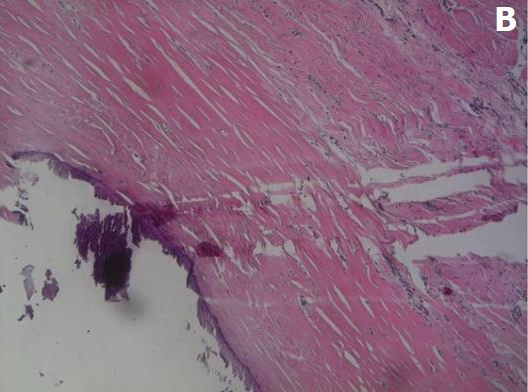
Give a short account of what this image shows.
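The wavy, parallel bundles are separated by clear clefts and hold few nuclei. At one edge of the tissue lies a dark purple, granular deposit, a focus of calcification. Toward the upper right, slightly more nuclei are gathered among the fibres.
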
